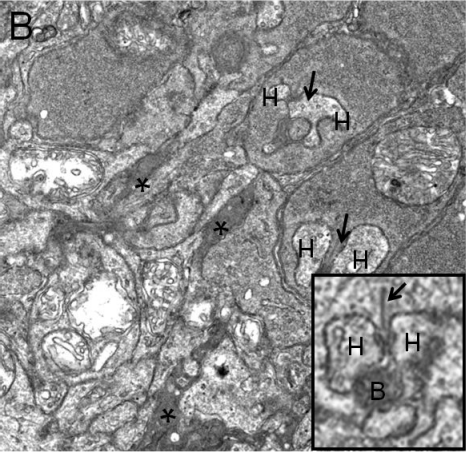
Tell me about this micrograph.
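Electron micrograph of synaptic terminals between photoreceptors and bipolar cells in the retina. Thin dark synaptic ribbons sit at invaginations flanked by paired horizontal cell processes. Several narrow, elongated dendritic profiles running among the terminals are strongly electron-dense, much darker than the surrounding neuropil. In the enlarged inset the central bipolar dendrite beneath the ribbon is darkly stained between the two paler horizontal cell processes.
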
